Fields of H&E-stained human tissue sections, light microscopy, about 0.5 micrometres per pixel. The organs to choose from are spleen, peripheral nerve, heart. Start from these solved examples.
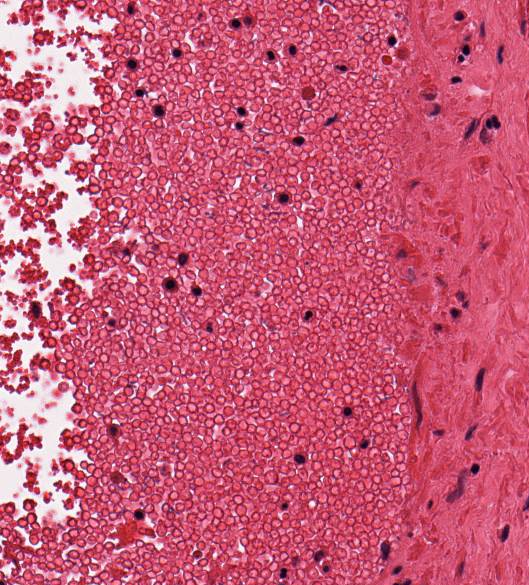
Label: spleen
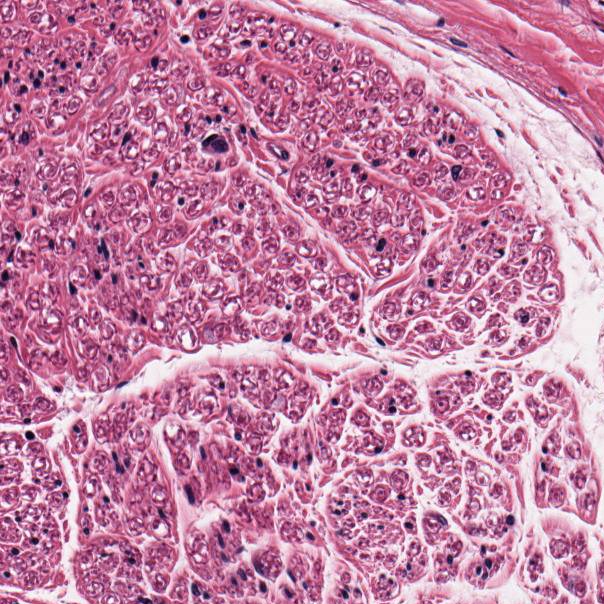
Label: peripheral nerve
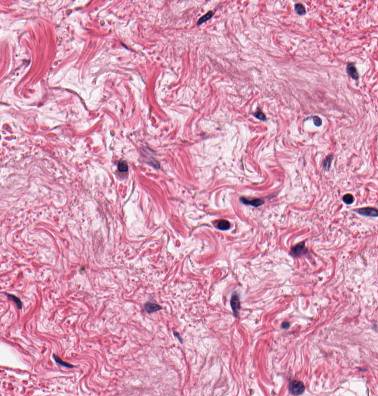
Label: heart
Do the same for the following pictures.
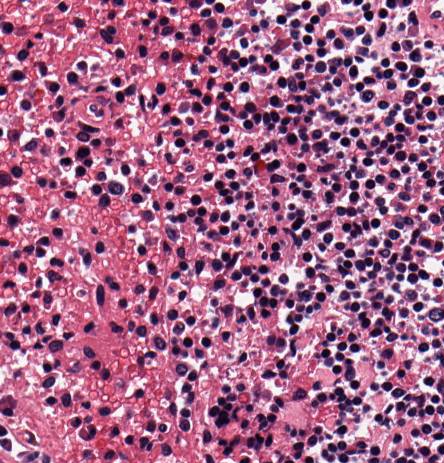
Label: spleen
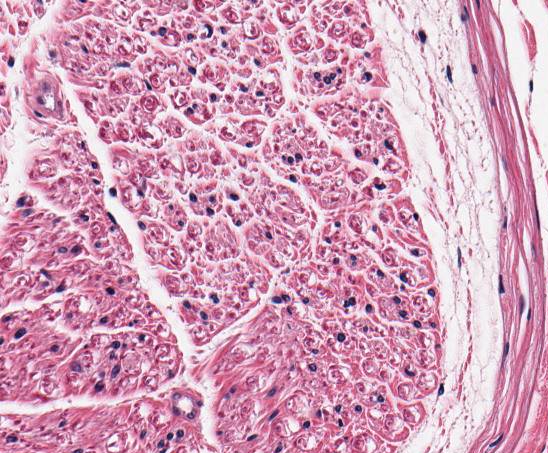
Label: peripheral nerve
